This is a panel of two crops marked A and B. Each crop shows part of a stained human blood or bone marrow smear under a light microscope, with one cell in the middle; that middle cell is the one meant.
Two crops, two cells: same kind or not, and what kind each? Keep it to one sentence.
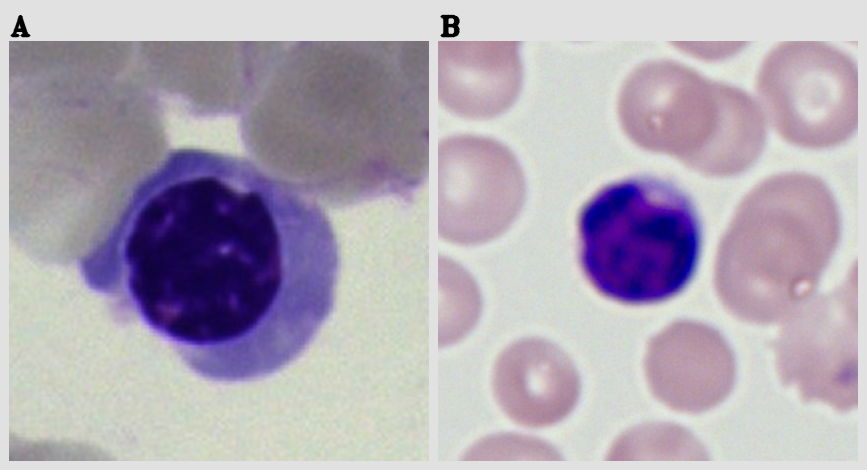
No, a lymphocyte is the cell in crop B, and crop A contains a normoblast.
